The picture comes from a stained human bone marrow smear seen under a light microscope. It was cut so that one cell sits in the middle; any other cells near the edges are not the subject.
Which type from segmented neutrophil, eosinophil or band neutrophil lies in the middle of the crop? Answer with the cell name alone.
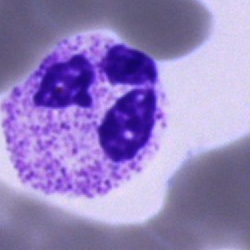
segmented neutrophil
